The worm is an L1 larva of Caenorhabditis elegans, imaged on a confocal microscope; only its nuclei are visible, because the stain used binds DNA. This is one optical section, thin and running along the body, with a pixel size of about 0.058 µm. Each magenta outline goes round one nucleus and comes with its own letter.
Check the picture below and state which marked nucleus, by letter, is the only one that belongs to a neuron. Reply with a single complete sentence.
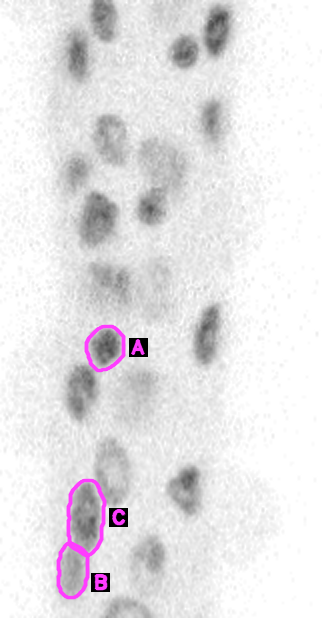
It is A that belongs to a neuron.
